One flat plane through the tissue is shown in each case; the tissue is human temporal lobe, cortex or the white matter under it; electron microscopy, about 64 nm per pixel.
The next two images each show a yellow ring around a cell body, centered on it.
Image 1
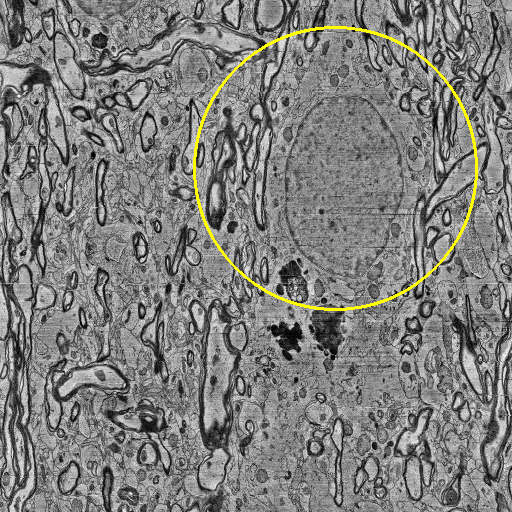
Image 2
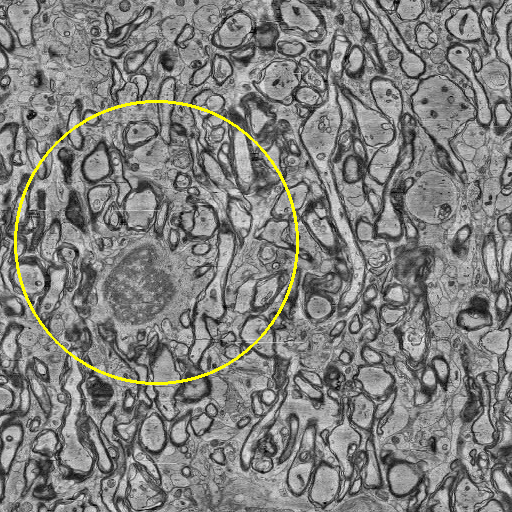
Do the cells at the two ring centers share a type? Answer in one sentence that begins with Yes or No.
No, across the two images the cells at the ring centers are of two types.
